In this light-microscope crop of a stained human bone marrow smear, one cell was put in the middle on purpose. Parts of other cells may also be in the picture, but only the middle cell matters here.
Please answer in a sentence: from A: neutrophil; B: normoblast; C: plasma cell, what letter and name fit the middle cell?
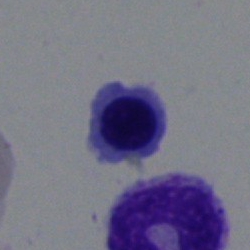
Option B is correct here, and the cell in the middle is a normoblast.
